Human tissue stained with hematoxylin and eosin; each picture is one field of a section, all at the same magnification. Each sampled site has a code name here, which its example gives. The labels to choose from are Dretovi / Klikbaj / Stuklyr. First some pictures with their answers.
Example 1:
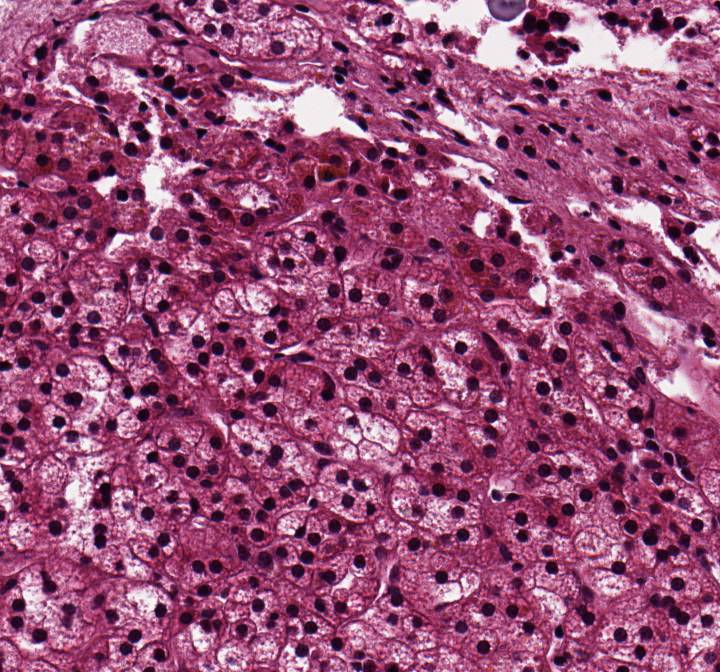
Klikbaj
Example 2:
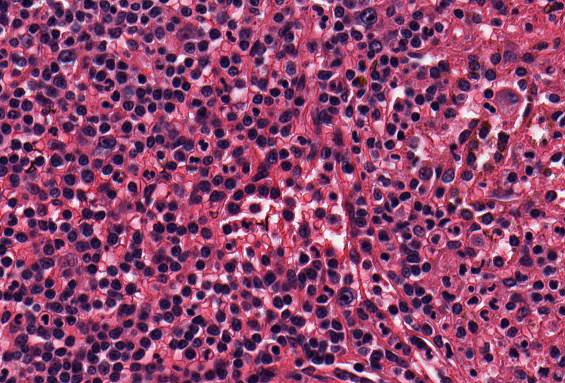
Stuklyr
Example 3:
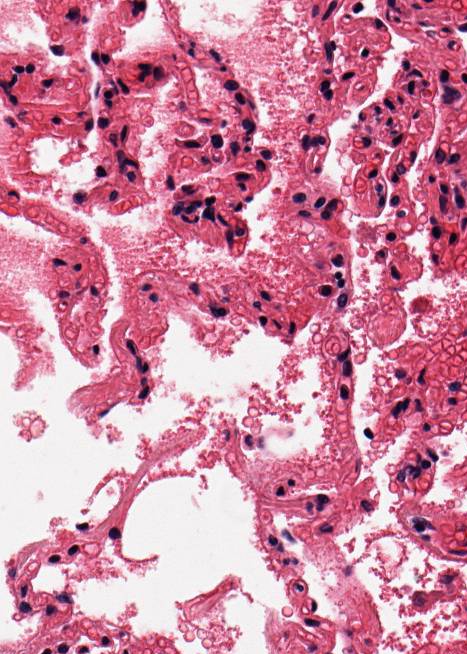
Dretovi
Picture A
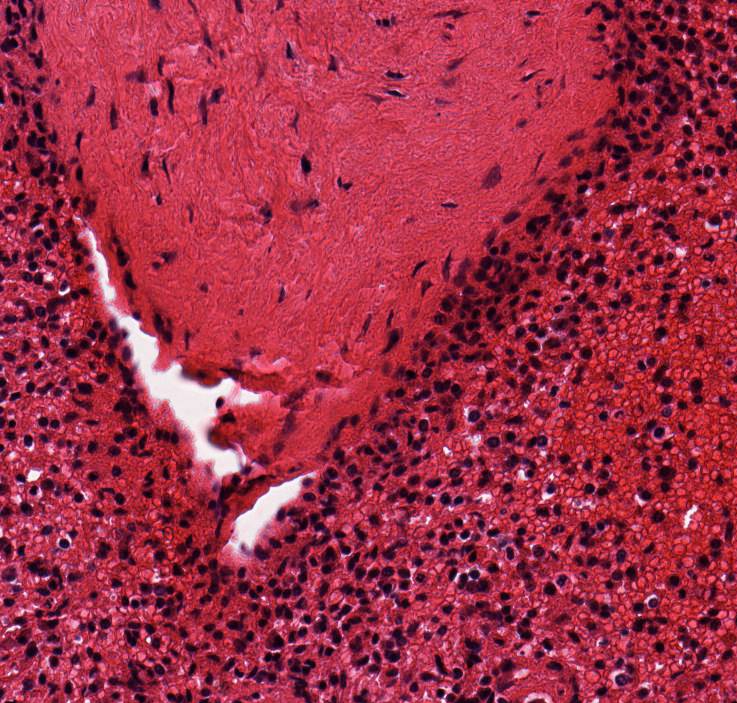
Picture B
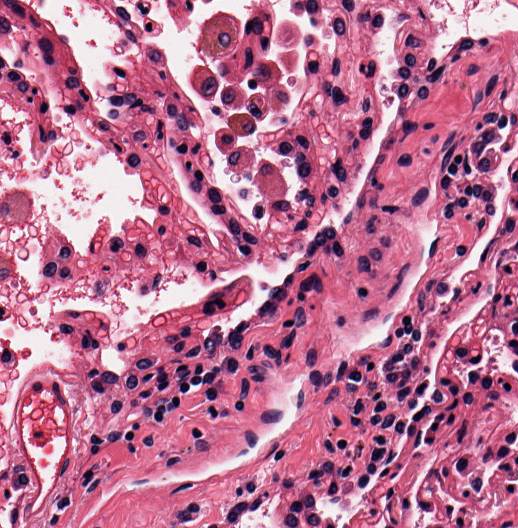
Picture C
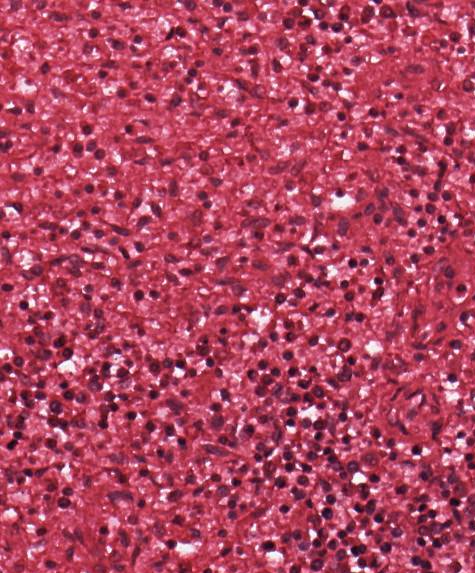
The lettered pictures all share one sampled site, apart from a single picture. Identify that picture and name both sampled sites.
B: Dretovi; all the others: Stuklyr.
